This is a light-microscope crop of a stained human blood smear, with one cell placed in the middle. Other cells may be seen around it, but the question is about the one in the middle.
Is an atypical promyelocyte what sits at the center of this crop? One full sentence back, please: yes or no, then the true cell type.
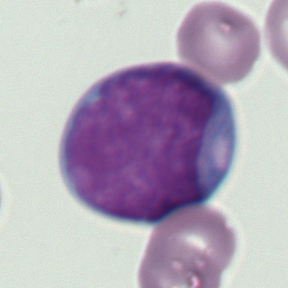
No, the central cell is not an atypical promyelocyte; it is a myeloblast instead.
